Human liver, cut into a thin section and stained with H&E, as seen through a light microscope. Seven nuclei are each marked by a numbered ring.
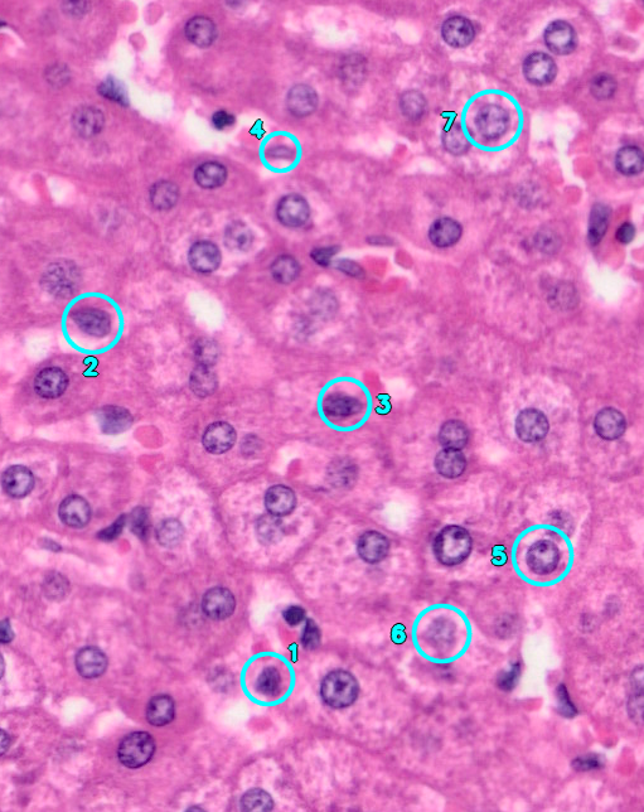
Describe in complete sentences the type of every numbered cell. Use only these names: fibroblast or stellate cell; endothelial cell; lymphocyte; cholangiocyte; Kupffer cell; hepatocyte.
Cell 1 is a fibroblast or stellate cell, cell 2 is a Kupffer cell, cell 3 is a fibroblast or stellate cell, cell 4 is a Kupffer cell, cell 5 is a hepatocyte, cell 6 is a hepatocyte and cell 7 is a hepatocyte.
